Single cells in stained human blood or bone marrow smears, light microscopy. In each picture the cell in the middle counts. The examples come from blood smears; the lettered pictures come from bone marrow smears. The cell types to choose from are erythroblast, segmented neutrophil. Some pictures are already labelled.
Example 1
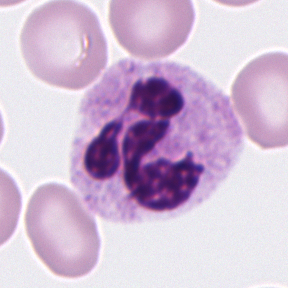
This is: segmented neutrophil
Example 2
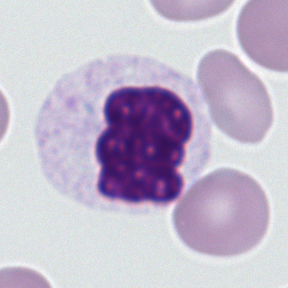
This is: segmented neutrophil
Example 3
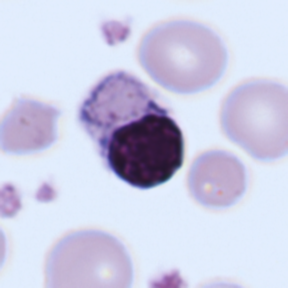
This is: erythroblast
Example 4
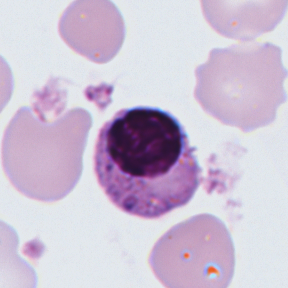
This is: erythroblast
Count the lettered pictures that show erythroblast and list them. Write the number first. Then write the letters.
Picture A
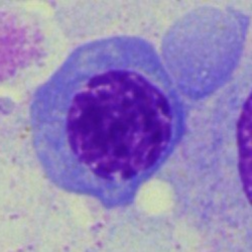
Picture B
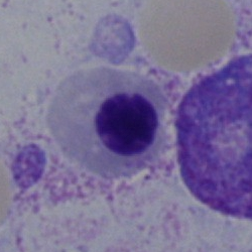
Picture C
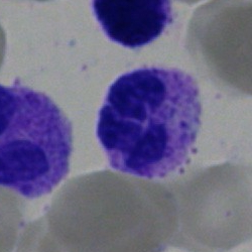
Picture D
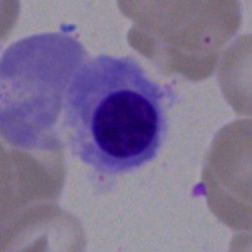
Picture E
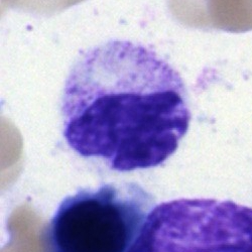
Count: 3 (A, B, D)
